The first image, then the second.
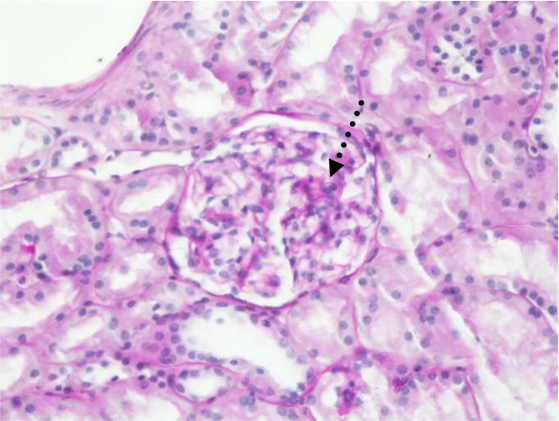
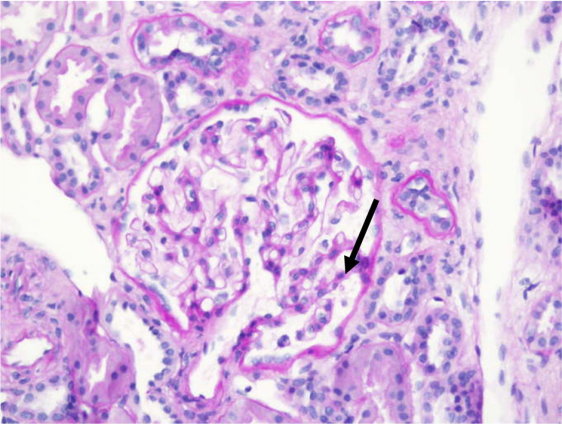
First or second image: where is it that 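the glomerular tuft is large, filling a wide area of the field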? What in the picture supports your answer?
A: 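First image: the capillary tuft is small, taking up about a third of the field's width.
Conclusion: the second image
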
